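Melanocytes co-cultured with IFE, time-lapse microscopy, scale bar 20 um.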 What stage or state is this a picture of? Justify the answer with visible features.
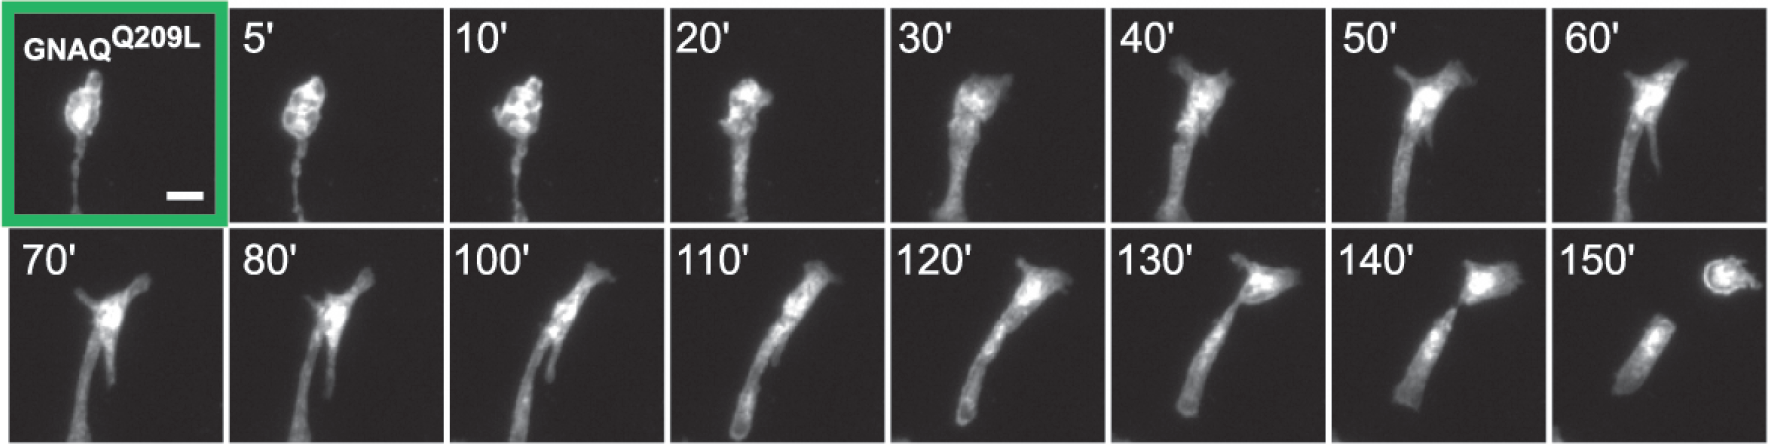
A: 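In the final frame two separate cell bodies lie apart. That points to this answer: cell division.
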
